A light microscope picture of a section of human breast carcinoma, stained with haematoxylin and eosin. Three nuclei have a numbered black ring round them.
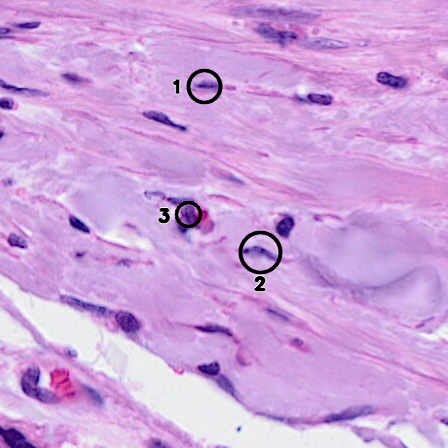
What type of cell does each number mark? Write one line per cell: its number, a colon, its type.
1: fibroblast
2: fibroblast
3: endothelial cell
